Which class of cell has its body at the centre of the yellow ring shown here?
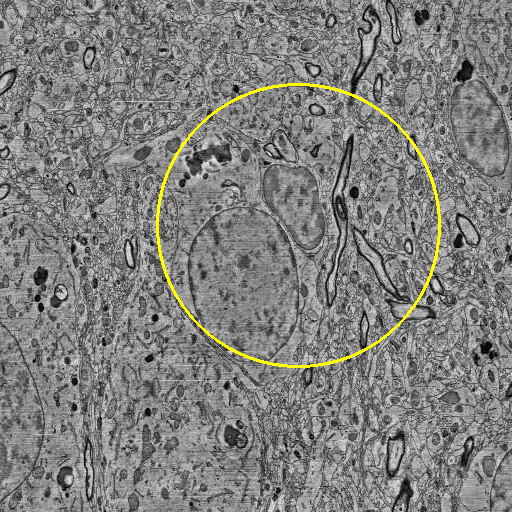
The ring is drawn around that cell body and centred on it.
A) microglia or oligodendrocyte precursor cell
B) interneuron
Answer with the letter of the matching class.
A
